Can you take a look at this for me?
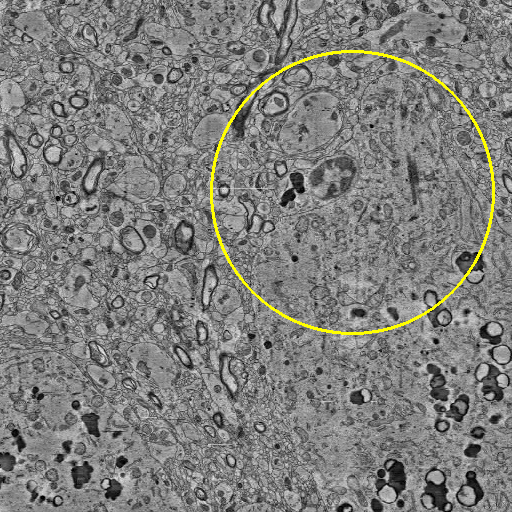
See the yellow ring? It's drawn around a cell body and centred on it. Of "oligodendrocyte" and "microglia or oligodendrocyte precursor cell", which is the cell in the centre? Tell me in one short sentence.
The one in the centre is a microglial cell or oligodendrocyte precursor cell.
